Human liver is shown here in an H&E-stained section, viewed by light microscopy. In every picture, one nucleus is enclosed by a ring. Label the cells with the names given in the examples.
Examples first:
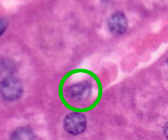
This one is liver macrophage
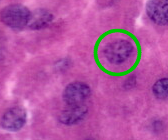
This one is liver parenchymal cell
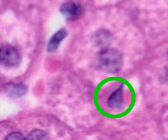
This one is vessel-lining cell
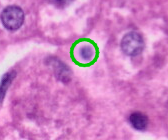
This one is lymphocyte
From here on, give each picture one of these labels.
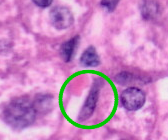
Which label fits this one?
liver macrophage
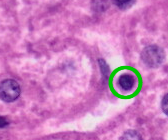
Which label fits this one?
lymphocyte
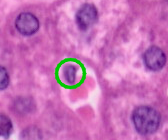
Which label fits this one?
liver macrophage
